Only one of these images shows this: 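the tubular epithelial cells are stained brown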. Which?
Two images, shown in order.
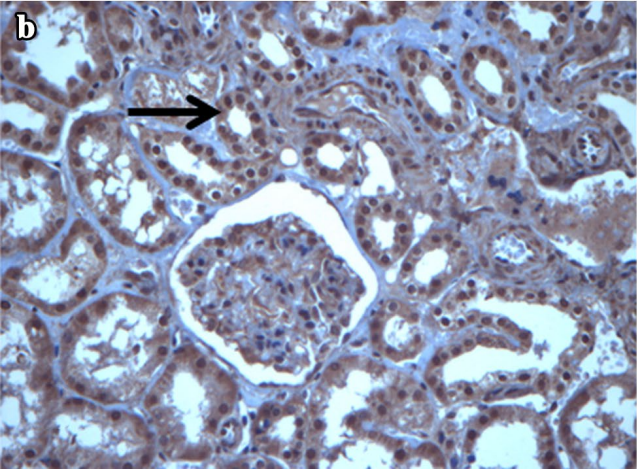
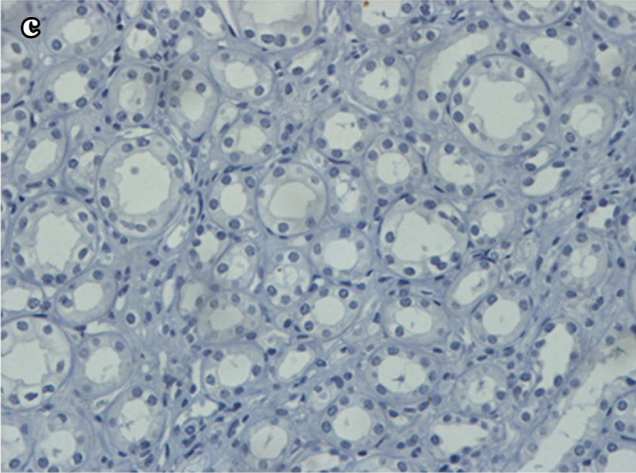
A: the first image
